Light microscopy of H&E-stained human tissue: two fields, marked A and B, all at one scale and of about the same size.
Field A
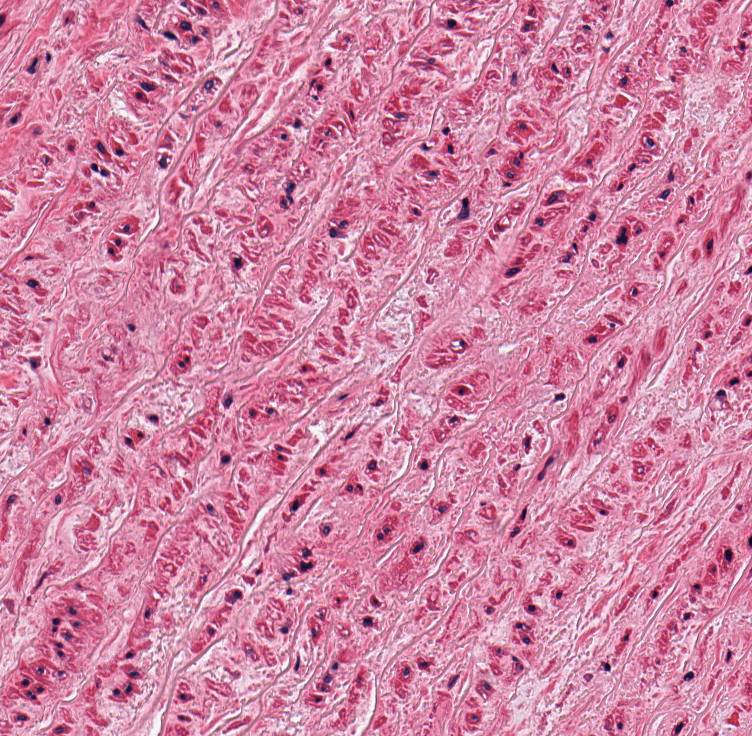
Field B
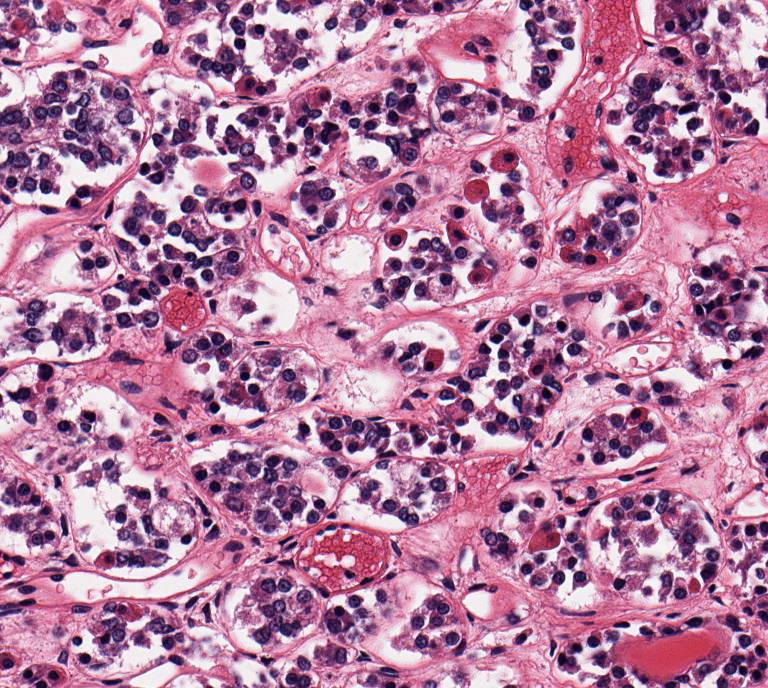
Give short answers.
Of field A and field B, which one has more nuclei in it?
B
